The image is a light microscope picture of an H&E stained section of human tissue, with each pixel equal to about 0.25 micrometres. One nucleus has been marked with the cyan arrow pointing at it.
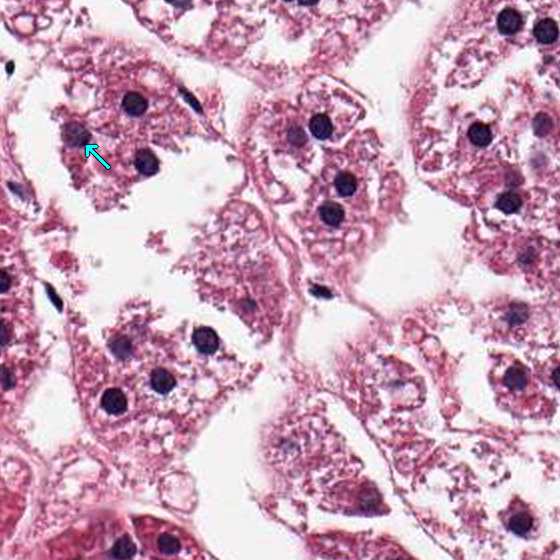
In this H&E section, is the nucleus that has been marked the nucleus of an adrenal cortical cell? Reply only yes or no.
yes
